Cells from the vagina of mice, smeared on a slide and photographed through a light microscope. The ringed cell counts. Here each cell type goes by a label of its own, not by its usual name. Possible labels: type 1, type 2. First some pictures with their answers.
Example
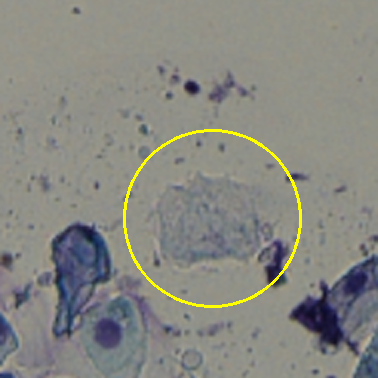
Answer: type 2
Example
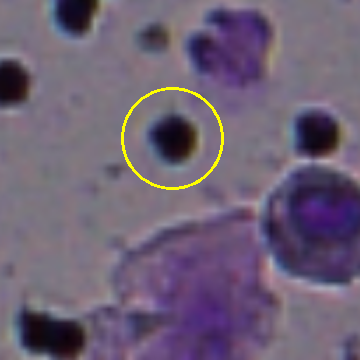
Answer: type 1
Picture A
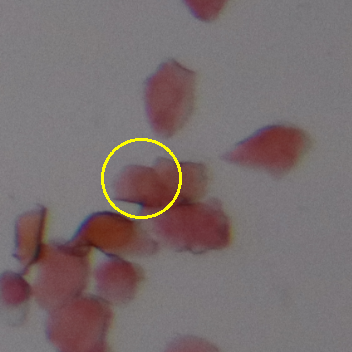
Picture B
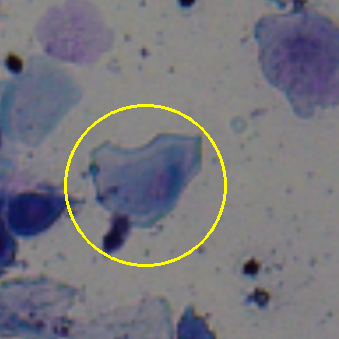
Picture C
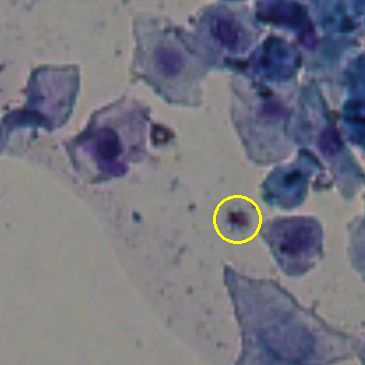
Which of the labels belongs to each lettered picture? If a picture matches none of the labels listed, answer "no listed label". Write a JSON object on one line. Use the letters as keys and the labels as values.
{"A": "type 2", "B": "type 2", "C": "type 1"}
